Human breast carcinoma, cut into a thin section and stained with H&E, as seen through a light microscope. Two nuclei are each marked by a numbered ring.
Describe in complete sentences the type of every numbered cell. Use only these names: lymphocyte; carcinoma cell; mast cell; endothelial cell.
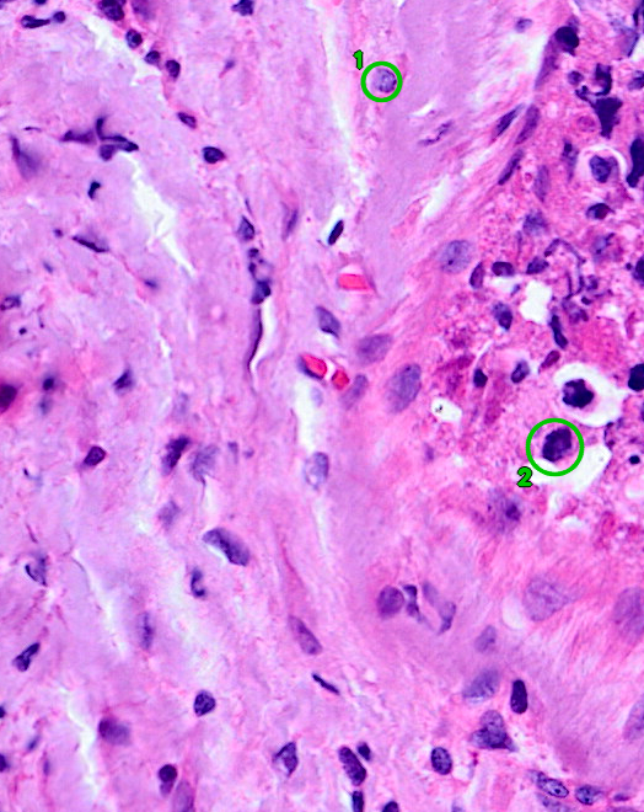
Cell 1 is a mast cell and cell 2 is a carcinoma cell.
